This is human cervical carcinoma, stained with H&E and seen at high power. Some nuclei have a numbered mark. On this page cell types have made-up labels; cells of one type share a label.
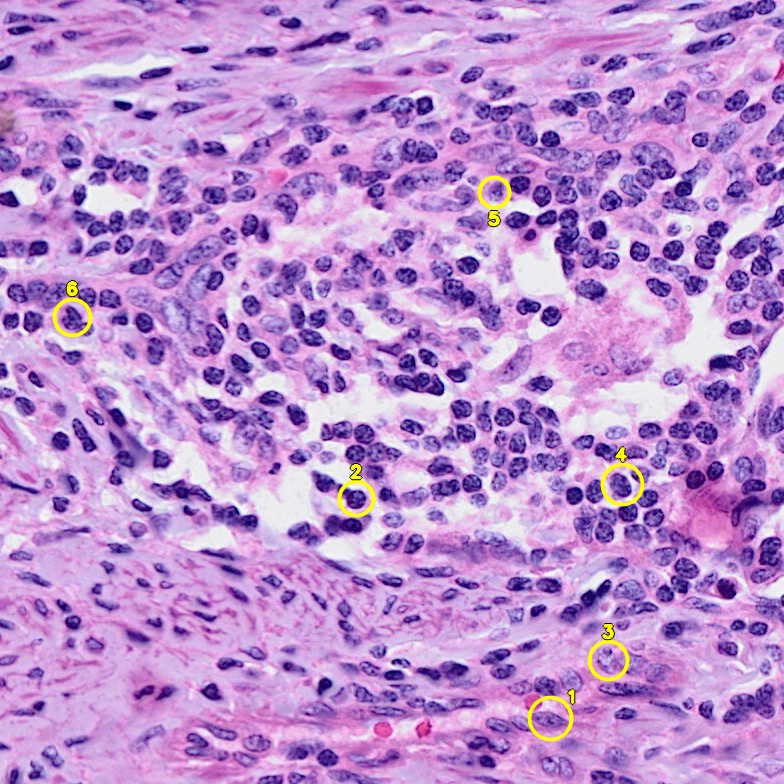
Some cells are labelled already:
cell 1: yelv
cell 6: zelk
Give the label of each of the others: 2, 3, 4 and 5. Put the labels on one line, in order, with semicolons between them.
zelk; yelv; zelk; zelk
